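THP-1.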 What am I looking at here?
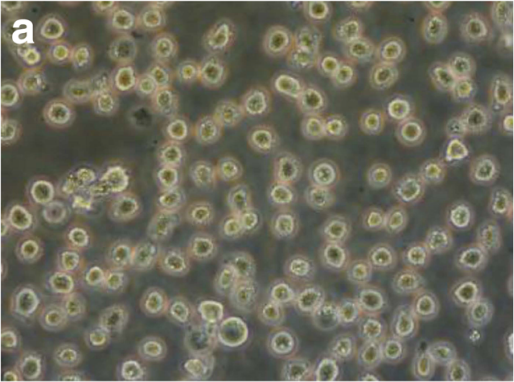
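These are monocytes seen unstained, rounded cells lying singly or in small loose groups. Each has a bright halo at its rim and a granular, slightly darker interior, and none has put out processes or spread flat.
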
